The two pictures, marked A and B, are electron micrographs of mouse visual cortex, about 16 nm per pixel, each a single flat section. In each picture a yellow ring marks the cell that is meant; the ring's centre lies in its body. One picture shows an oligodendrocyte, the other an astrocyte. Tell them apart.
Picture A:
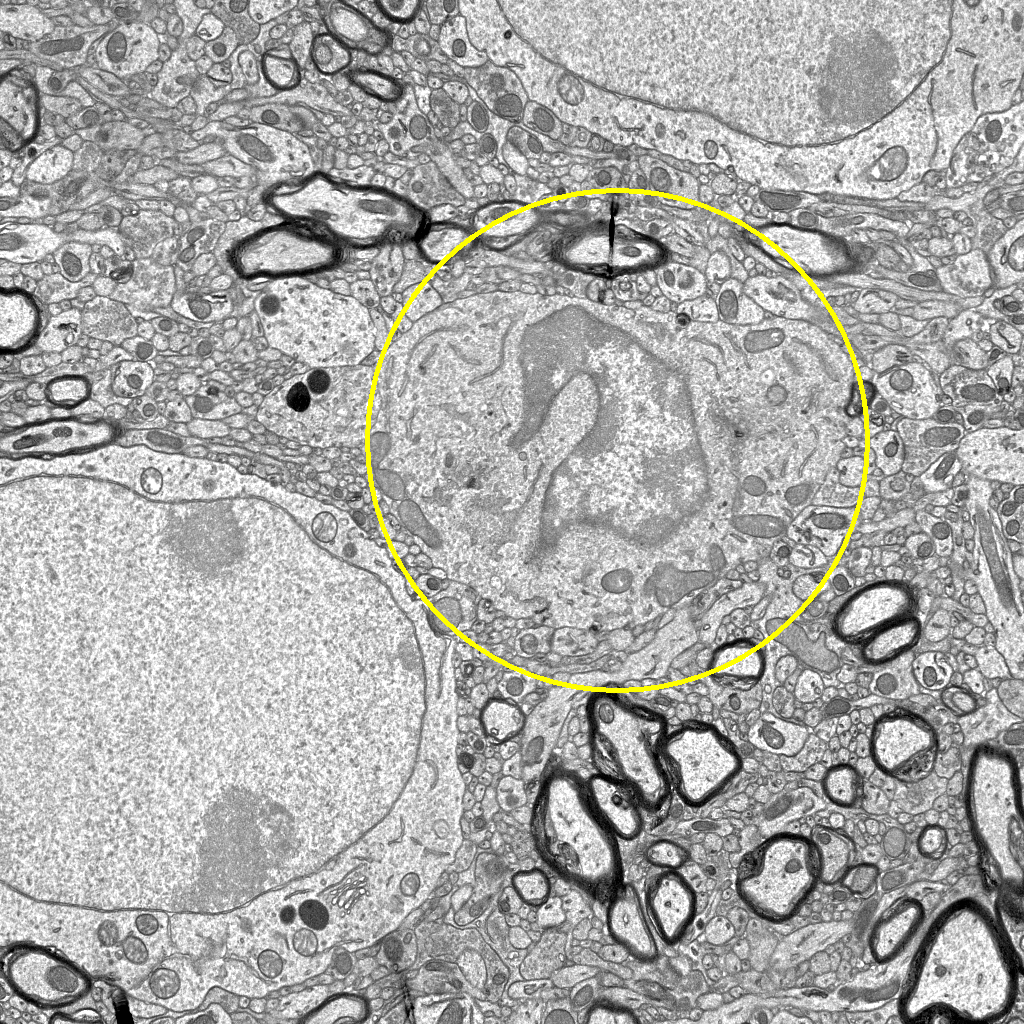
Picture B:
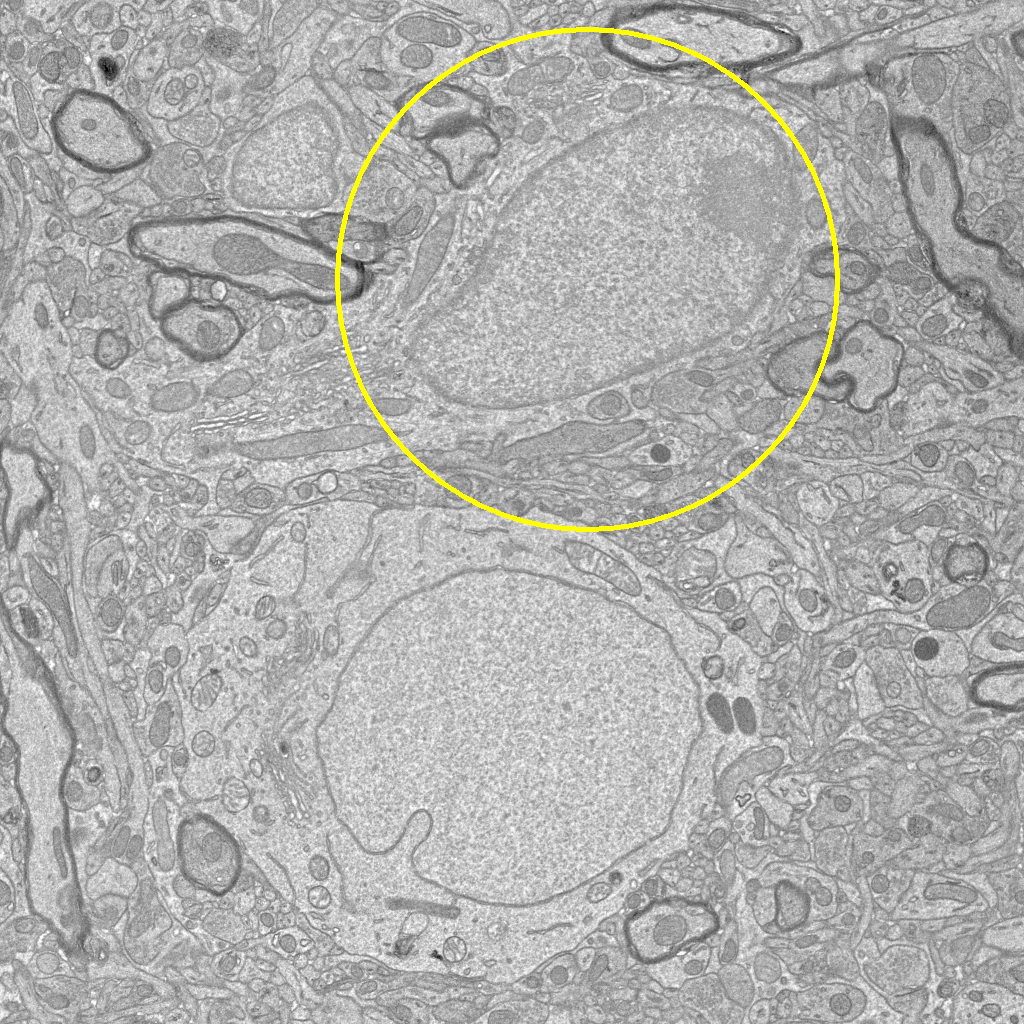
Picture B shows an astrocyte, while picture A shows an oligodendrocyte.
